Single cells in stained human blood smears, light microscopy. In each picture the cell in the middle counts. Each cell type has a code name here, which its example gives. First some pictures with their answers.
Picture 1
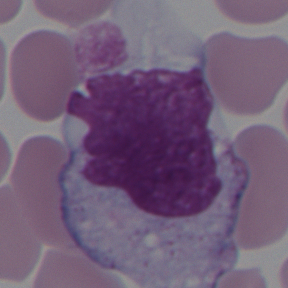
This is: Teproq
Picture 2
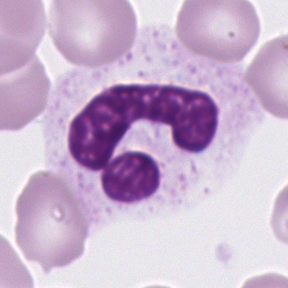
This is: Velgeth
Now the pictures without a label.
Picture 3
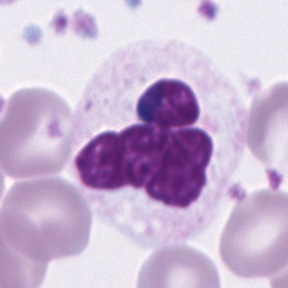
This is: Velgeth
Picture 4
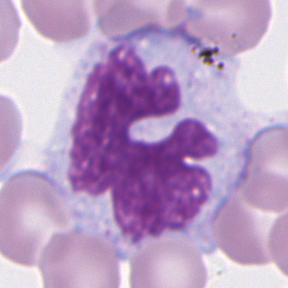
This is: Teproq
